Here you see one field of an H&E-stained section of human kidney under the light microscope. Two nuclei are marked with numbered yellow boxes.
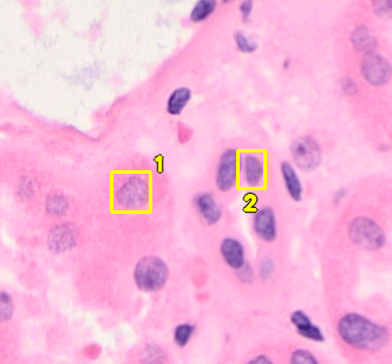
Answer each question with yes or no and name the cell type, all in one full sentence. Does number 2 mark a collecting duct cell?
Yes, cell number 2 in this section is a collecting duct cell.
